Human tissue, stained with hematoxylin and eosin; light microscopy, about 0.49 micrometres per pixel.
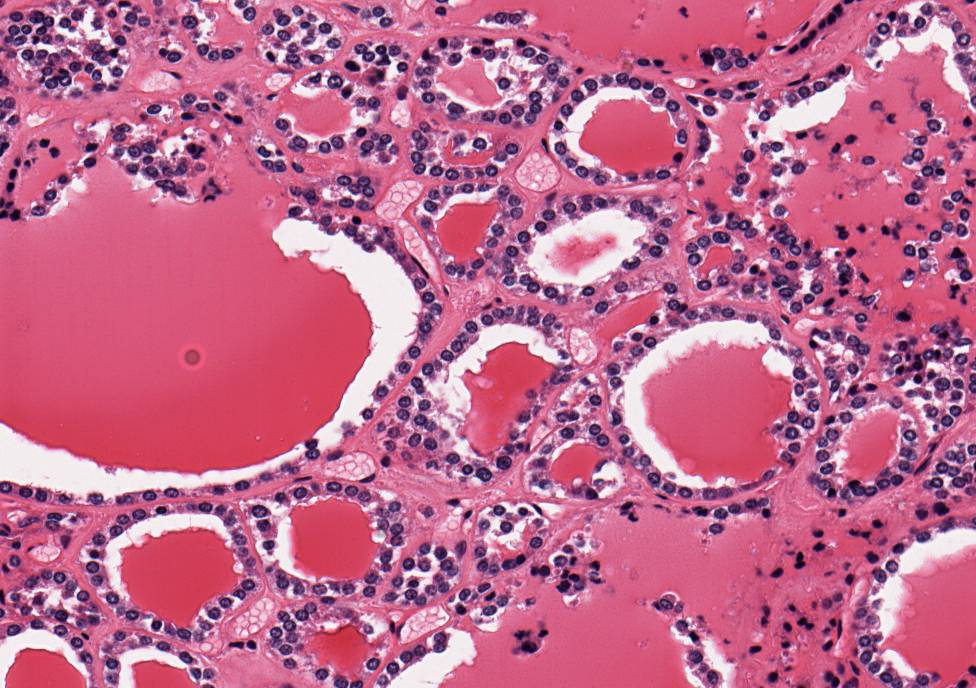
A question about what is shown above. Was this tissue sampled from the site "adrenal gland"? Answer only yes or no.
no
